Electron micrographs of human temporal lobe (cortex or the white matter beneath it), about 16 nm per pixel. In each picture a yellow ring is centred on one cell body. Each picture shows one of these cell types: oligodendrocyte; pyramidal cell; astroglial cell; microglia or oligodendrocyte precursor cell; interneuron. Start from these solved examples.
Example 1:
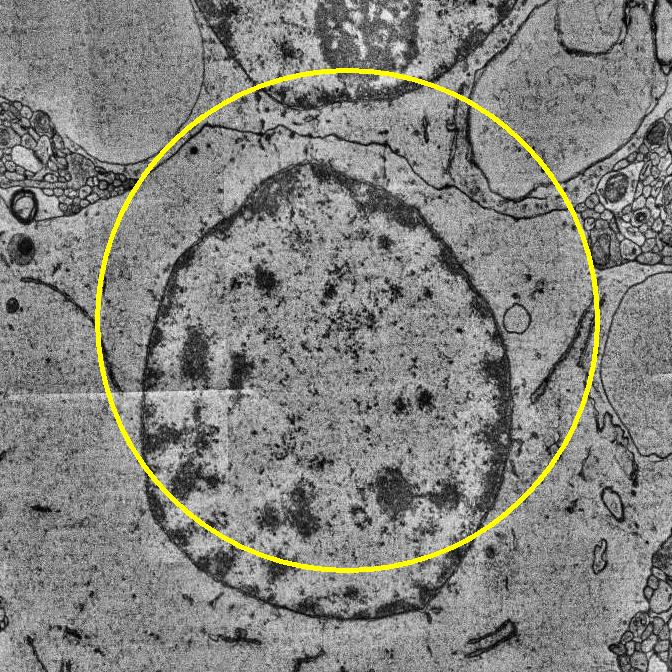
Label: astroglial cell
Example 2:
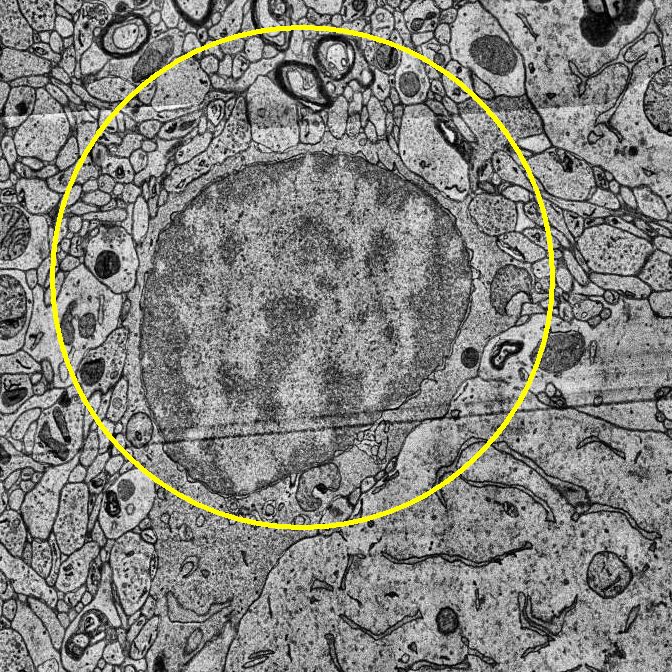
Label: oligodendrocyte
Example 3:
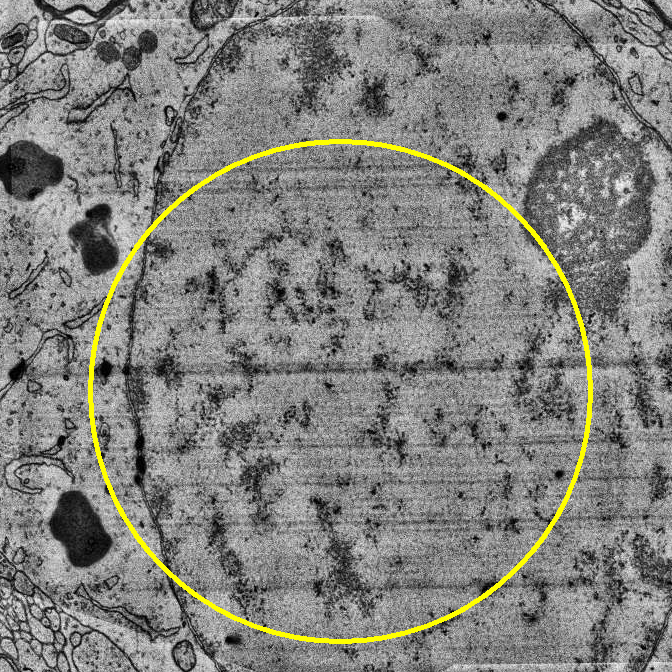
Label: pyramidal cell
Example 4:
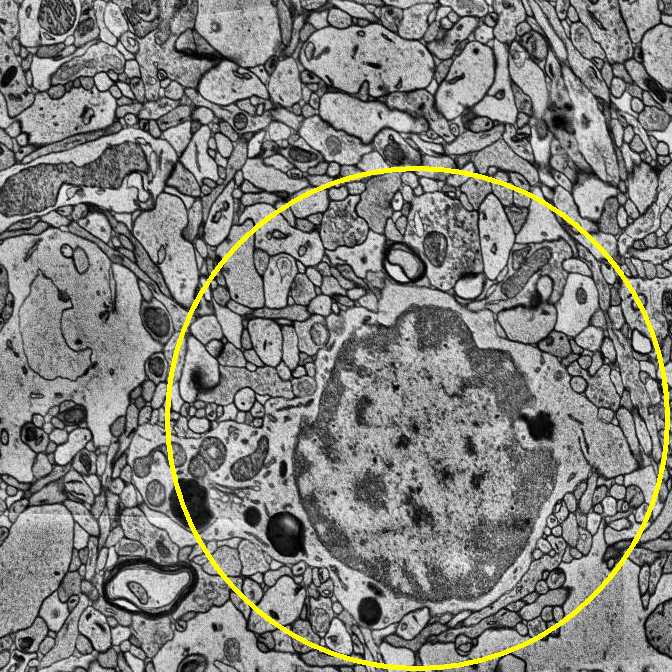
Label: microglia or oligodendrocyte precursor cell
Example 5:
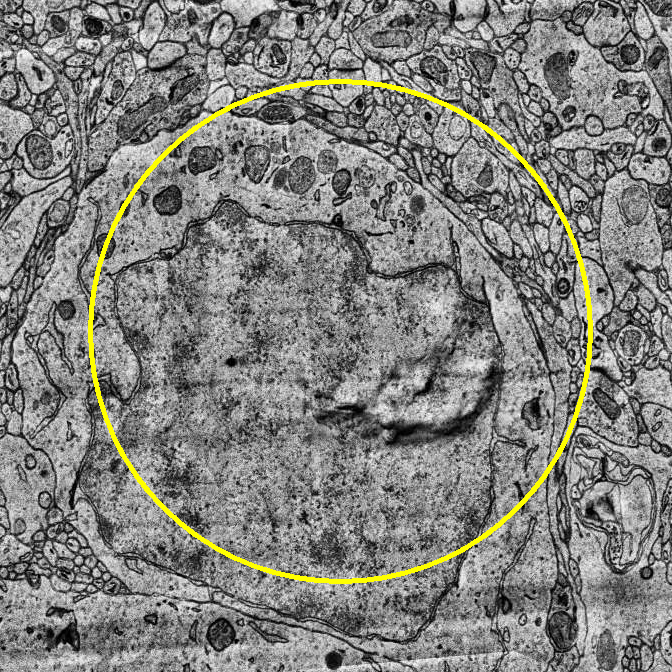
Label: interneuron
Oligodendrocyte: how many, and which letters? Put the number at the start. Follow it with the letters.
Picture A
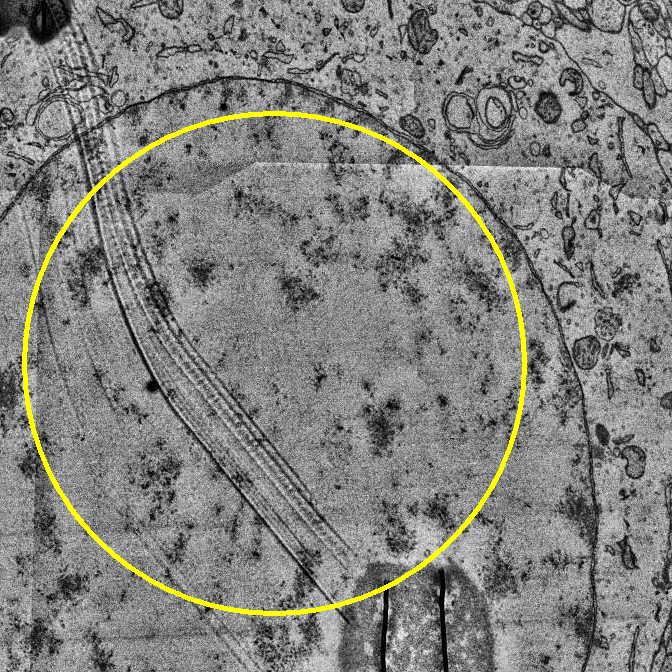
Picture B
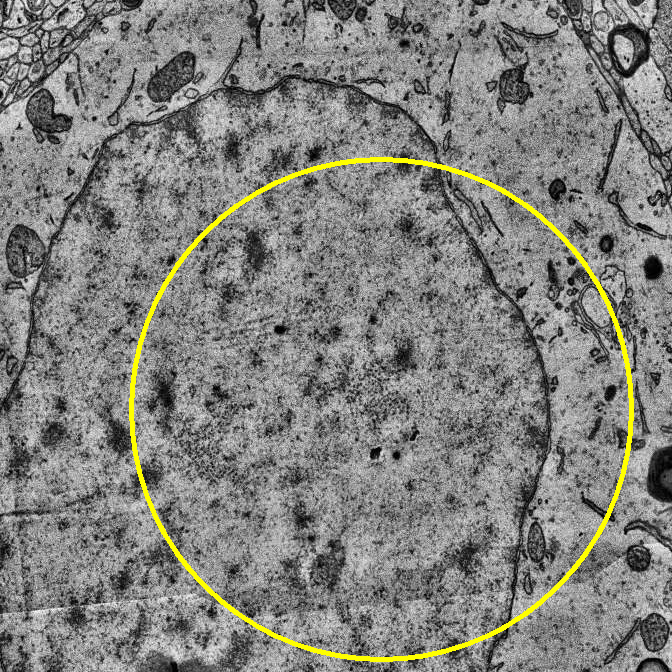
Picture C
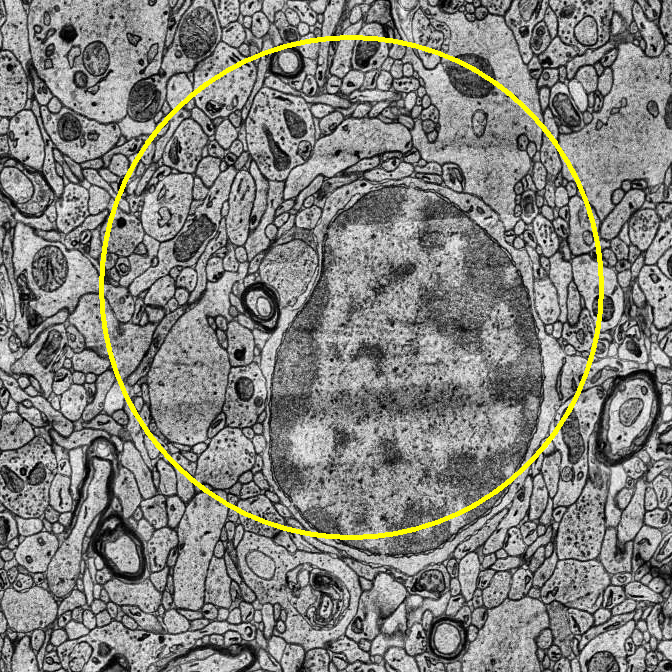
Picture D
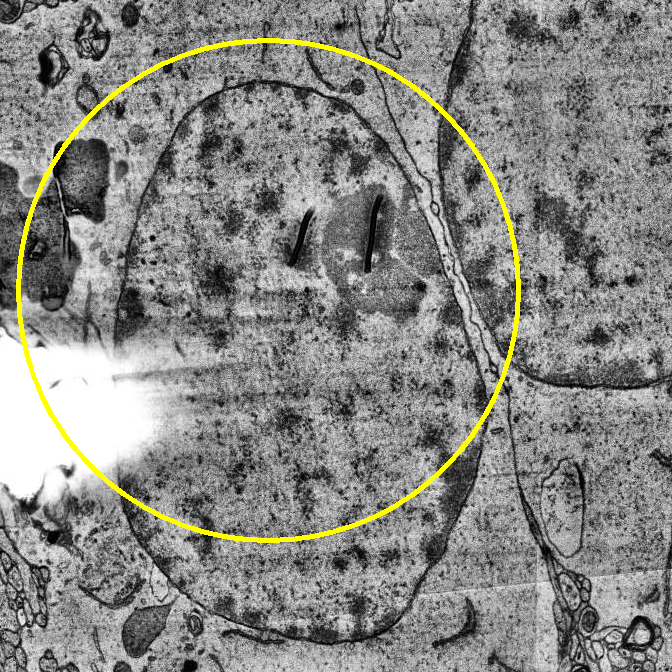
0, none of them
